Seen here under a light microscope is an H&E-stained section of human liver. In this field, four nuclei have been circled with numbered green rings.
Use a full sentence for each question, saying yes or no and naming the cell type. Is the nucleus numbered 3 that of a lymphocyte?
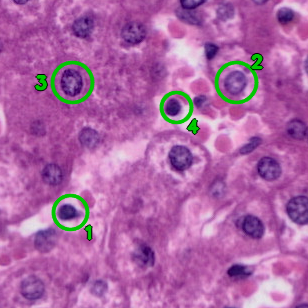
No, cell 3 is identified not as a lymphocyte but as a hepatocyte.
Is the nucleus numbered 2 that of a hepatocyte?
Yes, among the marked cells, the one with number 2 is a hepatocyte.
